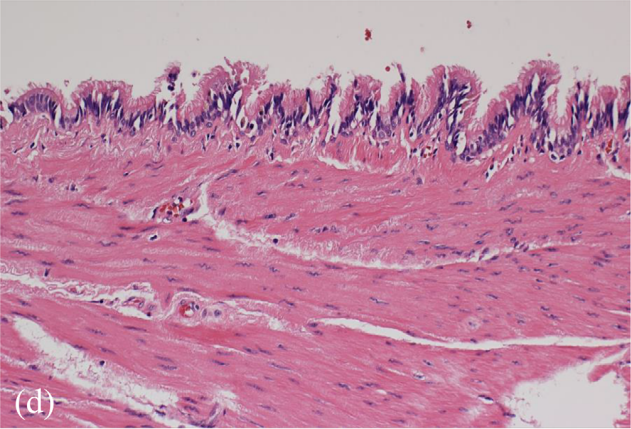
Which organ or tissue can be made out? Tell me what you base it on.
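The lining is thrown into small folds over pink spindle-celled tissue.
Answer: columnar epithelium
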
